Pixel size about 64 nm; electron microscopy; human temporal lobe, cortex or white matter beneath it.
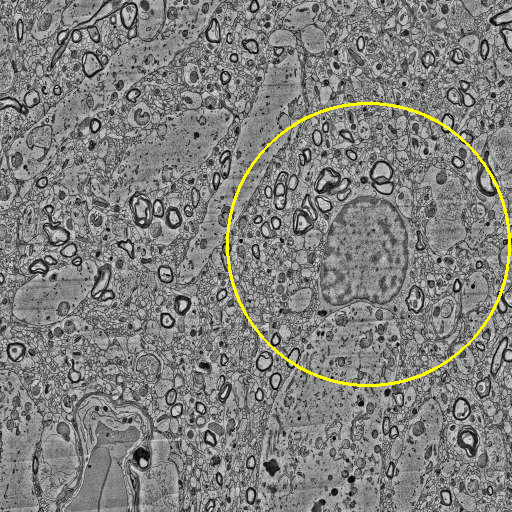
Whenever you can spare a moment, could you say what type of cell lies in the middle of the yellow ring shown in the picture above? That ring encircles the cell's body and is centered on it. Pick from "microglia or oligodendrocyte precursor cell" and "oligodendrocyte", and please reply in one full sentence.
The cell whose body sits at the middle of the yellow ring is an oligodendrocyte.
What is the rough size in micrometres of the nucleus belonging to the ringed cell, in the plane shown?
In this plane the nucleus is about 7 micrometres by 6.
